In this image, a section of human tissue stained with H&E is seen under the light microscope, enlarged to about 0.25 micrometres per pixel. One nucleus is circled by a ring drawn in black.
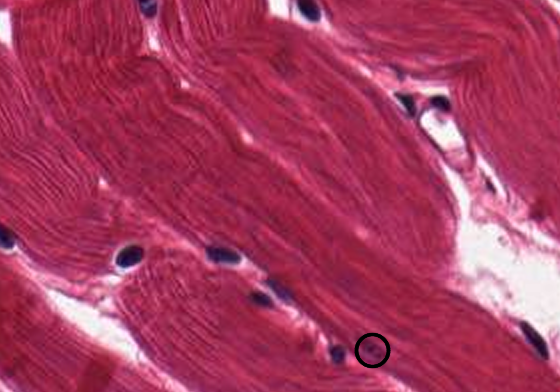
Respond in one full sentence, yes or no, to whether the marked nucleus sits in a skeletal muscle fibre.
Yes, a skeletal muscle fibre is the cell that the marked nucleus belongs to.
